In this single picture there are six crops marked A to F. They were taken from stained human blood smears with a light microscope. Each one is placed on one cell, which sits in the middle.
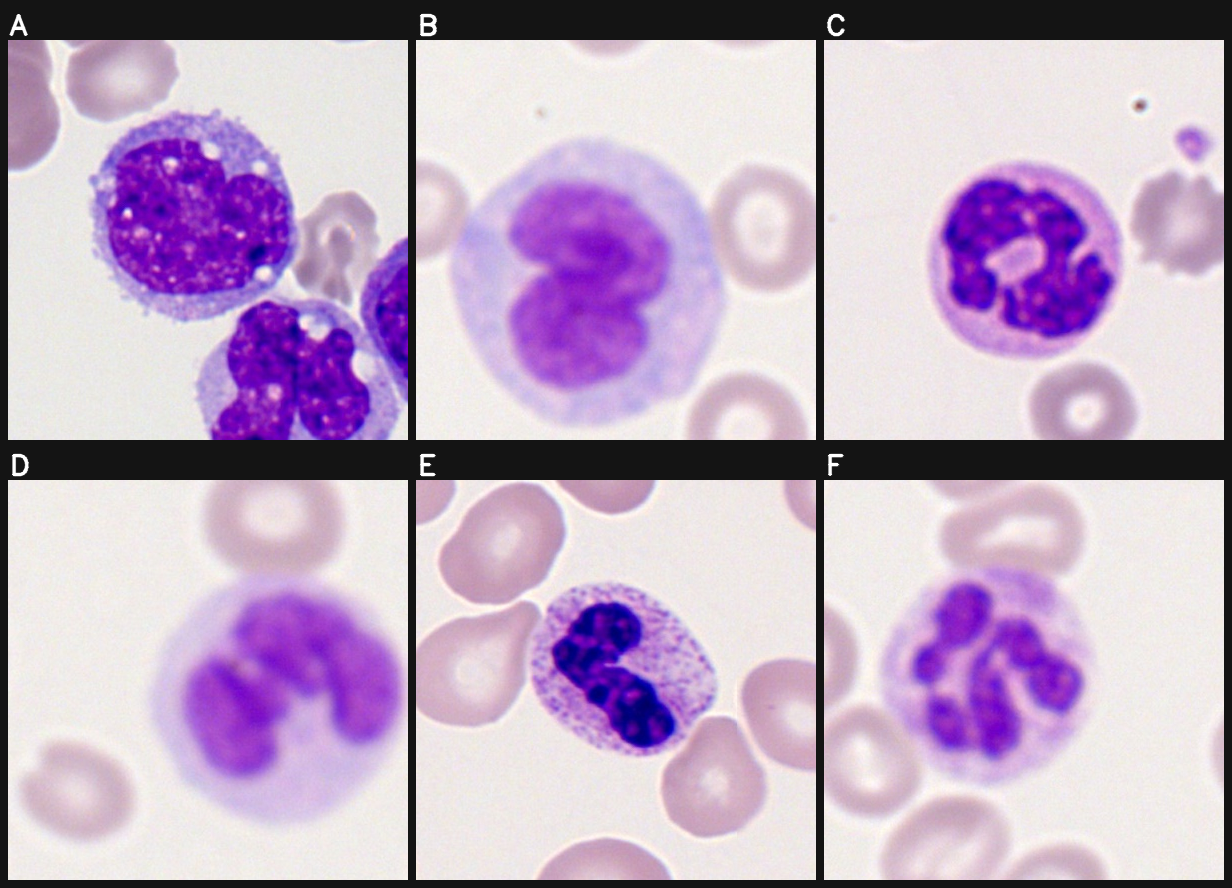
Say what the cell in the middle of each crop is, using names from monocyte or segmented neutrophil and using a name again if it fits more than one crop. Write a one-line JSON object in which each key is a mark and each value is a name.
{"A": "monocyte", "B": "monocyte", "C": "segmented neutrophil", "D": "monocyte", "E": "segmented neutrophil", "F": "segmented neutrophil"}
